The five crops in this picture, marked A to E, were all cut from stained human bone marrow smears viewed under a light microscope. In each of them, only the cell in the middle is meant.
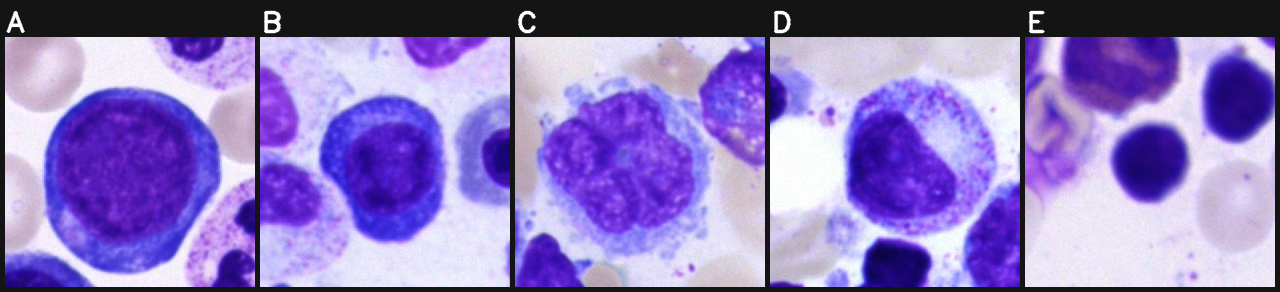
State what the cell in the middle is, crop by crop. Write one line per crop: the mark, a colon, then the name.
A: proerythroblast
B: plasma cell
C: monocyte
D: myelocyte
E: lymphocyte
